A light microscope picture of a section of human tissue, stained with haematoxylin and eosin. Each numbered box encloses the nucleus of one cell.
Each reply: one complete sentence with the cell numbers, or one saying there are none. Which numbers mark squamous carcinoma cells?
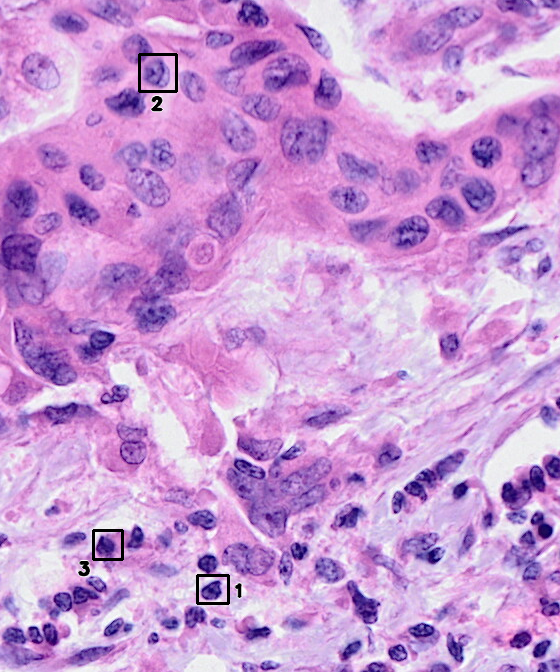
Of the numbered cells, only cell 2 is a squamous carcinoma cell.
